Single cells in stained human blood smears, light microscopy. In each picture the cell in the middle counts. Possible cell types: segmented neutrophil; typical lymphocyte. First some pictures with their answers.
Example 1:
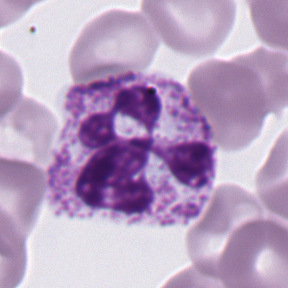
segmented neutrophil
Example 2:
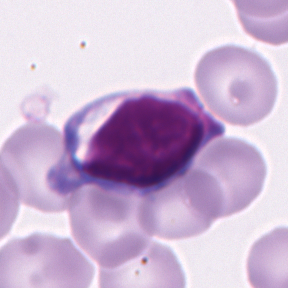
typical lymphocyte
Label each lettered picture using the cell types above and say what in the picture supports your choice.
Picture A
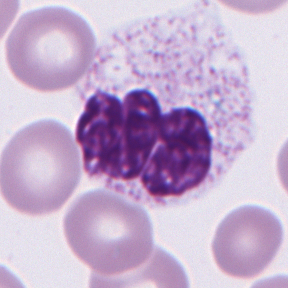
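segmented neutrophil. The cytoplasm is very pale, almost colourless with a faint pink tinge.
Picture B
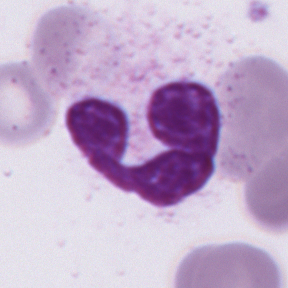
segmented neutrophil. The cytoplasm is very pale, nearly colourless.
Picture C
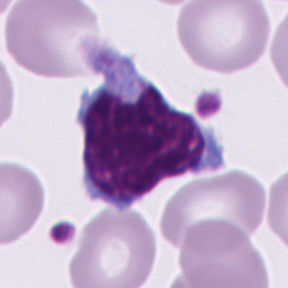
typical lymphocyte. The nucleus fills most of the cell.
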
